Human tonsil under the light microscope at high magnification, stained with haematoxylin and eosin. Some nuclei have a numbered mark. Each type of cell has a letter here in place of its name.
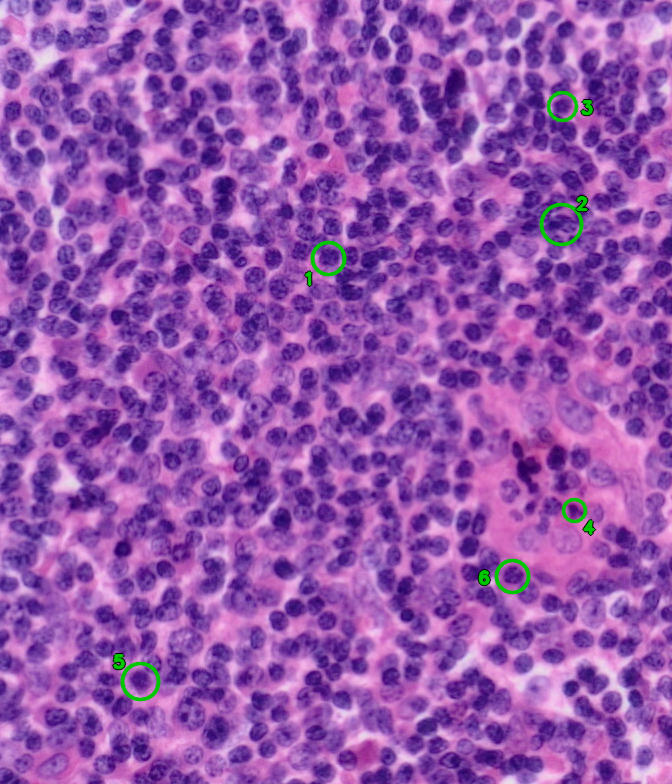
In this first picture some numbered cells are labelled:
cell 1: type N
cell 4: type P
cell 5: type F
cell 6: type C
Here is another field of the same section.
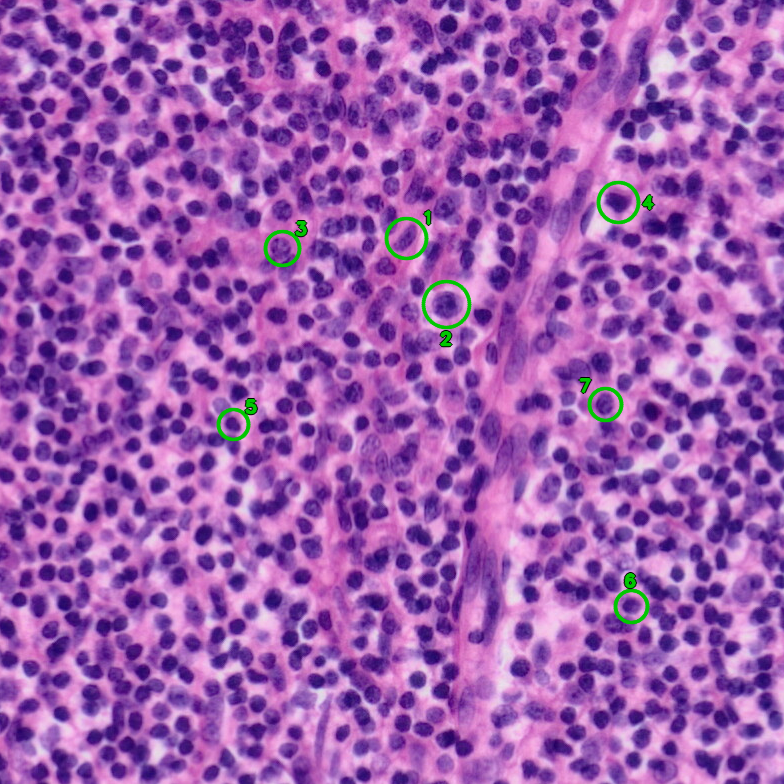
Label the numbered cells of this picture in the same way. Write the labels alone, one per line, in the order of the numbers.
type P
type F
type C
type F
type N
type N
type C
